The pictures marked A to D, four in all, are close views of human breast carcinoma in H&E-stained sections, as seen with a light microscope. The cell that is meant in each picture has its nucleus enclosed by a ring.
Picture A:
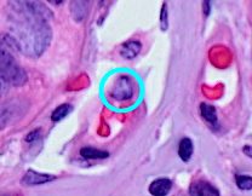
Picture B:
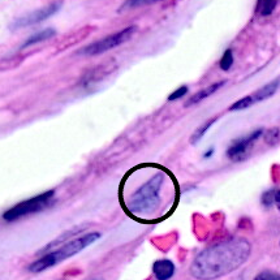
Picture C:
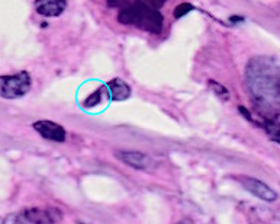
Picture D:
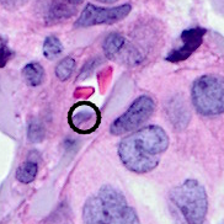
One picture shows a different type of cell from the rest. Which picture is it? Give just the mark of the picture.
C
